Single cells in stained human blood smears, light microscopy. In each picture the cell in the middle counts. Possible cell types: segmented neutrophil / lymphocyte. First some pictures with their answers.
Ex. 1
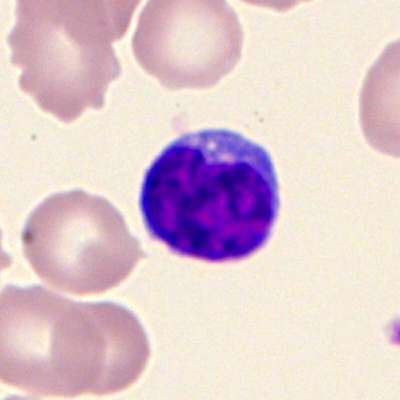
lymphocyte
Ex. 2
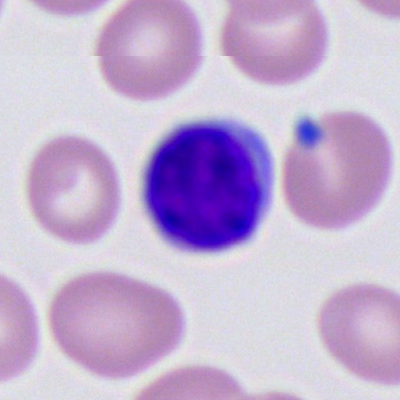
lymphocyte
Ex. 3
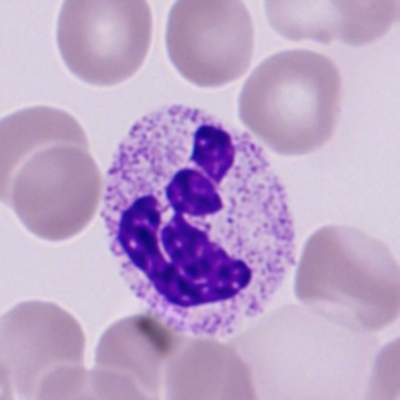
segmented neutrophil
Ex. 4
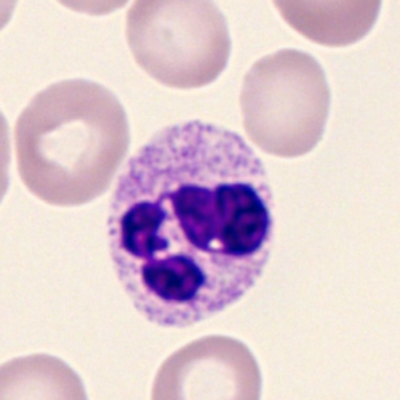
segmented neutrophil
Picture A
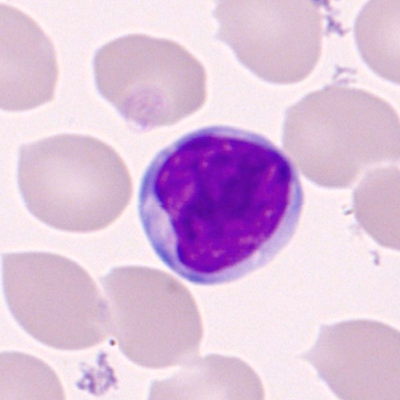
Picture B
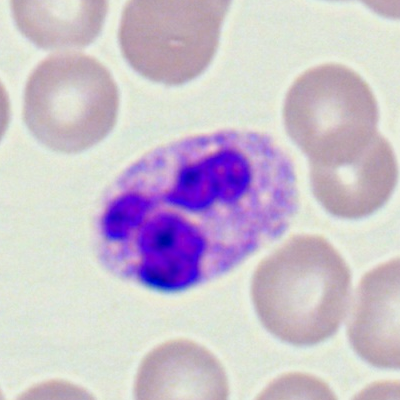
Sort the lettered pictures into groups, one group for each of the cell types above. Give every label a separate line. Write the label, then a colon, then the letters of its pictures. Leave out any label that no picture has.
segmented neutrophil: B
lymphocyte: A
